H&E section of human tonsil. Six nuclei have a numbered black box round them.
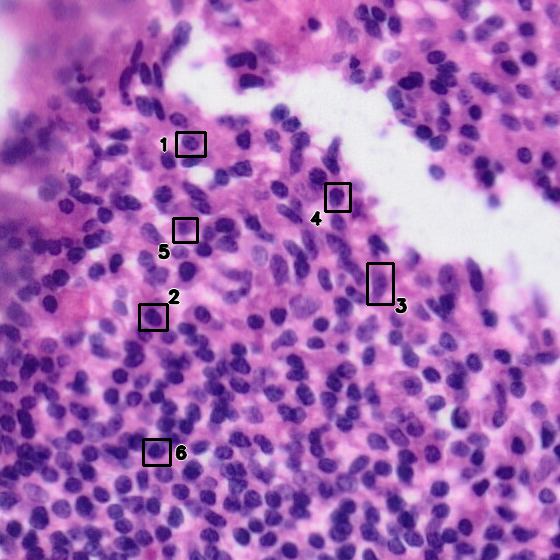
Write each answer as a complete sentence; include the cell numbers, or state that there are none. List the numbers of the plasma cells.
The cells tagged 1, 2, 4 and 5 are plasma cells in this tissue section.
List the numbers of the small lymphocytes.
Among the cells marked with numbers, the only one that is a small lymphocyte is number 6.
